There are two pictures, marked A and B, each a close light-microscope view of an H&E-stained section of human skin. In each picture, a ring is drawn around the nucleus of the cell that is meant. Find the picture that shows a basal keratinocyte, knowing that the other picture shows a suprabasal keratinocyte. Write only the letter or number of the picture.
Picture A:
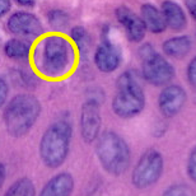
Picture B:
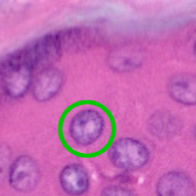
A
